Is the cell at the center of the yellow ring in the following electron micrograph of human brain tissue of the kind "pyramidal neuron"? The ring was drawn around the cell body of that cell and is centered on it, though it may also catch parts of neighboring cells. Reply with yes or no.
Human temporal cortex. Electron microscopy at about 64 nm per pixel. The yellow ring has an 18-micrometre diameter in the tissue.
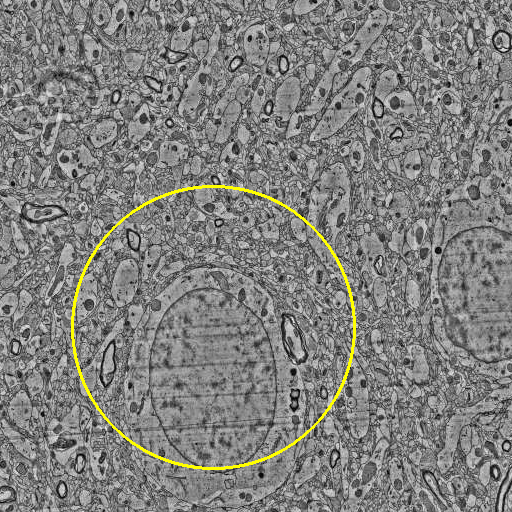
Yes, that is its kind.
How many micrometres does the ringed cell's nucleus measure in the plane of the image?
Roughly 12 by 8 micrometres in this plane, for the nucleus of the ringed cell.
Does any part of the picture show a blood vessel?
No, none is visible.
